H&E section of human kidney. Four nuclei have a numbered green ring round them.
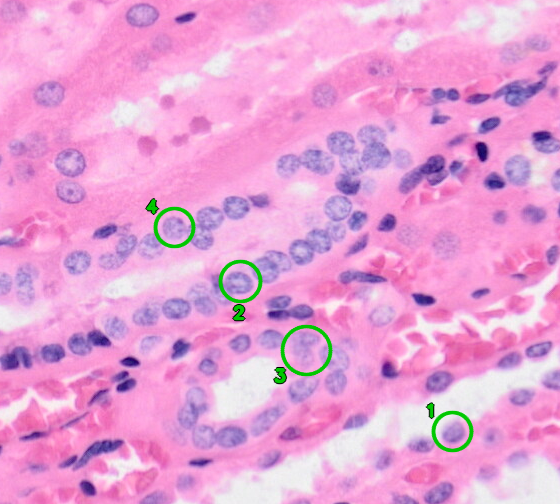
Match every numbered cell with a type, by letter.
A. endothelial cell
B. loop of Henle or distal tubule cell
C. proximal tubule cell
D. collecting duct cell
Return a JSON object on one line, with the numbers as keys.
{"1": "B", "2": "D", "3": "D", "4": "D"}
